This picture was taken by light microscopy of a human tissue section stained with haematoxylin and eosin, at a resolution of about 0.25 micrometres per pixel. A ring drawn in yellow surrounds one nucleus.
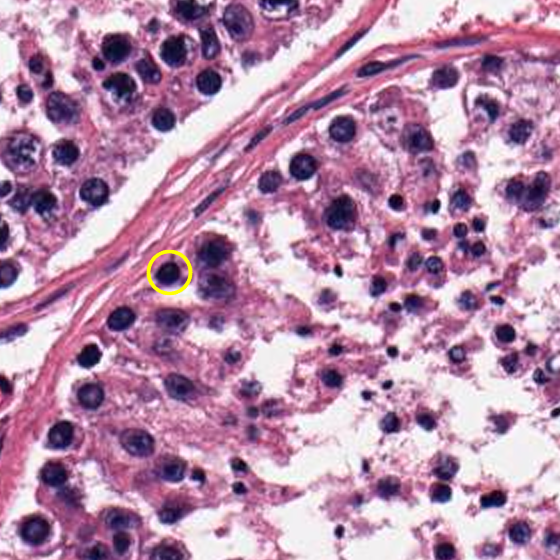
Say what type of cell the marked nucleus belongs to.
spermatogonium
